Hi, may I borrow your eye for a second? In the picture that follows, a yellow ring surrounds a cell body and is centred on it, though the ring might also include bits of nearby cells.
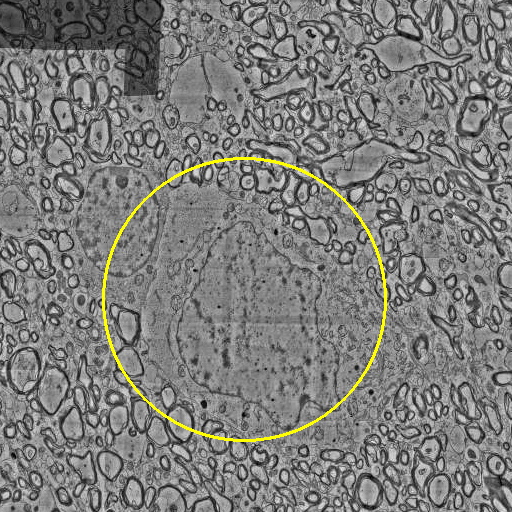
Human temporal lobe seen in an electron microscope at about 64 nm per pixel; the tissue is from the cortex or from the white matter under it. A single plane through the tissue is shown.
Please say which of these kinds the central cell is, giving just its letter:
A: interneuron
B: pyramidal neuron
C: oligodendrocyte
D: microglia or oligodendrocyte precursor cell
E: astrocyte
B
